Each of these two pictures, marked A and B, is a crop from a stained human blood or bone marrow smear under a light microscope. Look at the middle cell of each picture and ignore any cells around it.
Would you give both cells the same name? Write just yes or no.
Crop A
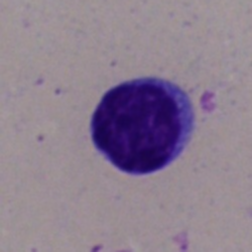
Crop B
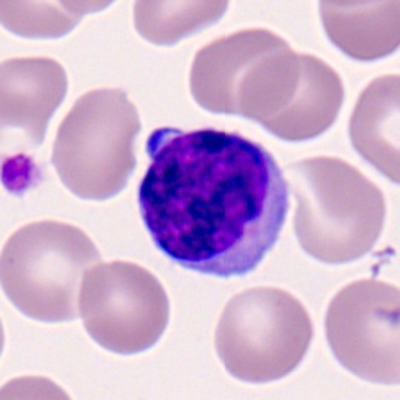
yes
